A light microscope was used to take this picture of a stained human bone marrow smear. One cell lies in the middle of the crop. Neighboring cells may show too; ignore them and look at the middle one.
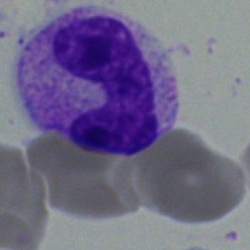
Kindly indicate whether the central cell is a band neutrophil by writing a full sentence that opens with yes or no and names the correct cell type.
Yes, the cell in the center of the field is a band neutrophil.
